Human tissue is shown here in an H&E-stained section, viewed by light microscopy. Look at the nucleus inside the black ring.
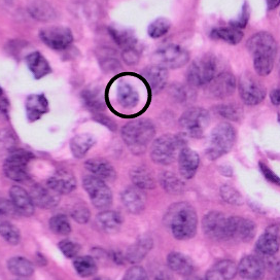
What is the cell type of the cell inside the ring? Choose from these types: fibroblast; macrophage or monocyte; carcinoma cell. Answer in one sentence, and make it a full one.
By cell type, the cell inside the ring is a macrophage or monocyte.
